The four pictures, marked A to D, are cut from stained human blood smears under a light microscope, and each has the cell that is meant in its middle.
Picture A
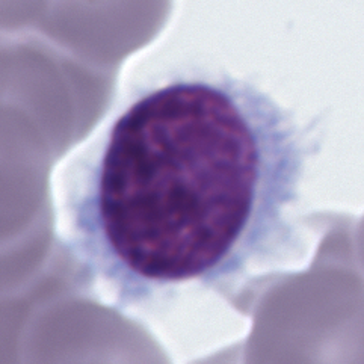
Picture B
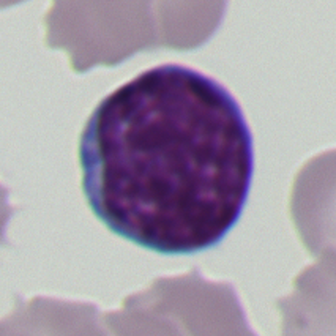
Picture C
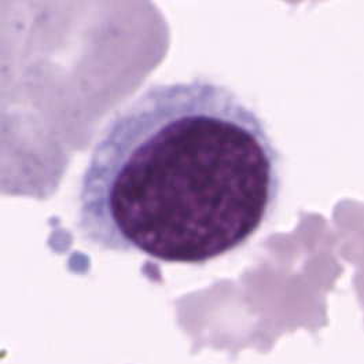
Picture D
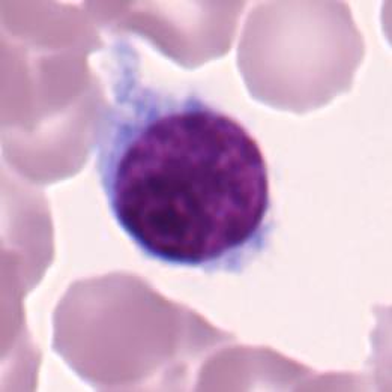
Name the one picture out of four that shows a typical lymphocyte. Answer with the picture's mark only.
B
